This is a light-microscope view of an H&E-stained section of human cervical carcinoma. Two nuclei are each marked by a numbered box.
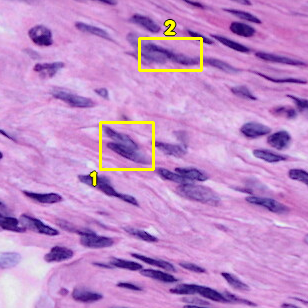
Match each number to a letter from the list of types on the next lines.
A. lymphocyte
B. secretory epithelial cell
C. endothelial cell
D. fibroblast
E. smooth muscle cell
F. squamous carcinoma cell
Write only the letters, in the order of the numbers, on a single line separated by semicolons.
C; D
